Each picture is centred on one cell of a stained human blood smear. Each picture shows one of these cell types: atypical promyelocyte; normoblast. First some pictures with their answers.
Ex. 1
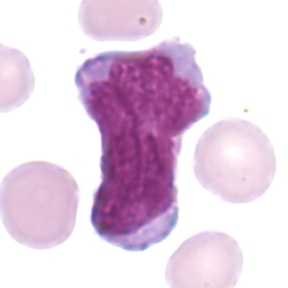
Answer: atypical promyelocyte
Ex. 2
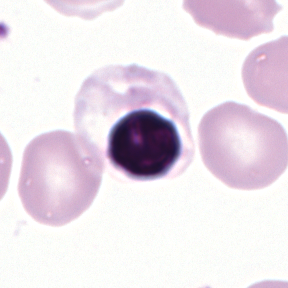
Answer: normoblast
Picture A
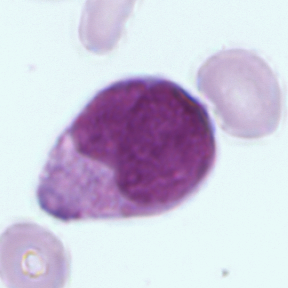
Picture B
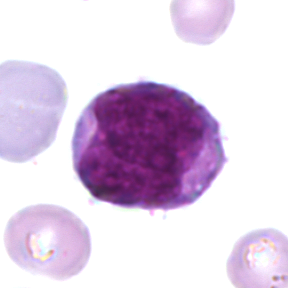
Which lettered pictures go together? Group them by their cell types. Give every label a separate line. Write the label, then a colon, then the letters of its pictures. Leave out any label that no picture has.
atypical promyelocyte: A, B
